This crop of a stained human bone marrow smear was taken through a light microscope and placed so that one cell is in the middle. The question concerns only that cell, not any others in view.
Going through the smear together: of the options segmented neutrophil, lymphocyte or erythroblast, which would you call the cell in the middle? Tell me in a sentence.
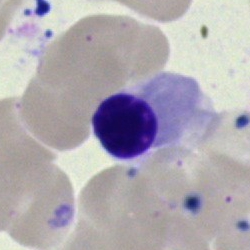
The centrally positioned cell in the crop represents an erythroblast.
